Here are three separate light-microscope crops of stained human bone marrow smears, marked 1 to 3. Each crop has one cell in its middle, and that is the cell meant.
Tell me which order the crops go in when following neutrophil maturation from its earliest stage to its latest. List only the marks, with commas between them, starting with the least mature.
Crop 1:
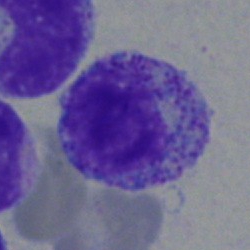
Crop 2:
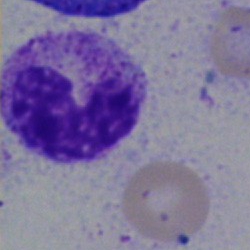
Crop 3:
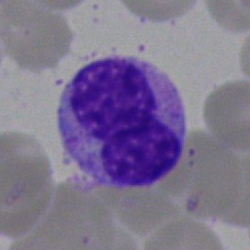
1, 3, 2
